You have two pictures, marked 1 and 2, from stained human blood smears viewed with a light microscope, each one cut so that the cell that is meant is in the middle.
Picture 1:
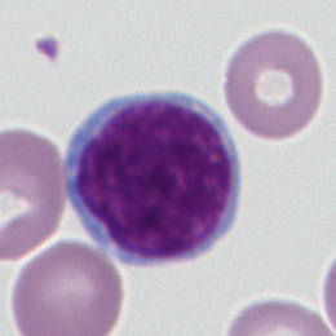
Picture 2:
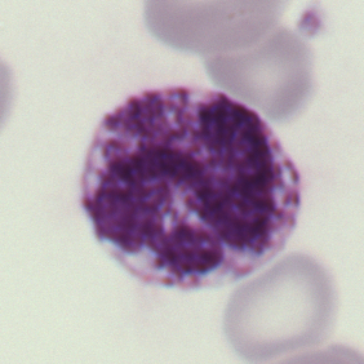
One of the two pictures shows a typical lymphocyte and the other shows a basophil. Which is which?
1: typical lymphocyte
2: basophil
